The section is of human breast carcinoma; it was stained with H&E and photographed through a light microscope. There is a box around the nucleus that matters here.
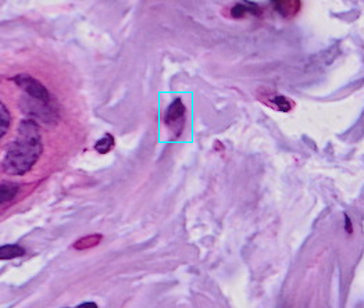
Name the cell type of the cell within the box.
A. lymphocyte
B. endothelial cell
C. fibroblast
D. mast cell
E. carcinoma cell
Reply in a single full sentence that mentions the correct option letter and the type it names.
It is option C that is correct, the cell within the box being a fibroblast.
